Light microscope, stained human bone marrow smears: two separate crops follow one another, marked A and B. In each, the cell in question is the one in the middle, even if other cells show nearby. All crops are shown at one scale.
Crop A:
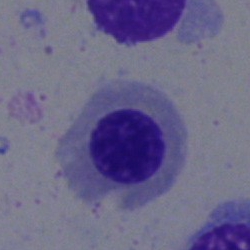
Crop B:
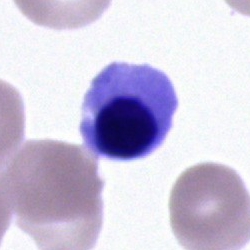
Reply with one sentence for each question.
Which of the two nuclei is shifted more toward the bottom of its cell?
Seen within its cell, the nucleus in crop B lies further toward the bottom.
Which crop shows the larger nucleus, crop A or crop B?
Crop A shows the larger nucleus; it covers about 1.5 times the area of the nucleus in crop B.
